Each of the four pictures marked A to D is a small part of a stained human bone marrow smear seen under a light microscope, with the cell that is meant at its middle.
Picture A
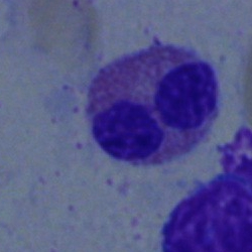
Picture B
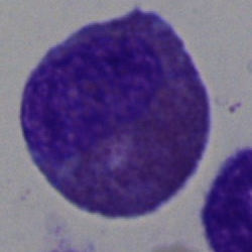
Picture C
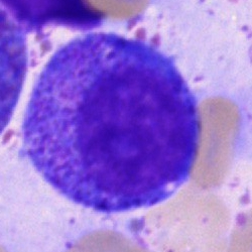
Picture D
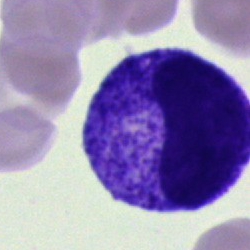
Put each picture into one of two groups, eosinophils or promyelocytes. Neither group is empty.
A: eosinophil
B: eosinophil
C: promyelocyte
D: promyelocyte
